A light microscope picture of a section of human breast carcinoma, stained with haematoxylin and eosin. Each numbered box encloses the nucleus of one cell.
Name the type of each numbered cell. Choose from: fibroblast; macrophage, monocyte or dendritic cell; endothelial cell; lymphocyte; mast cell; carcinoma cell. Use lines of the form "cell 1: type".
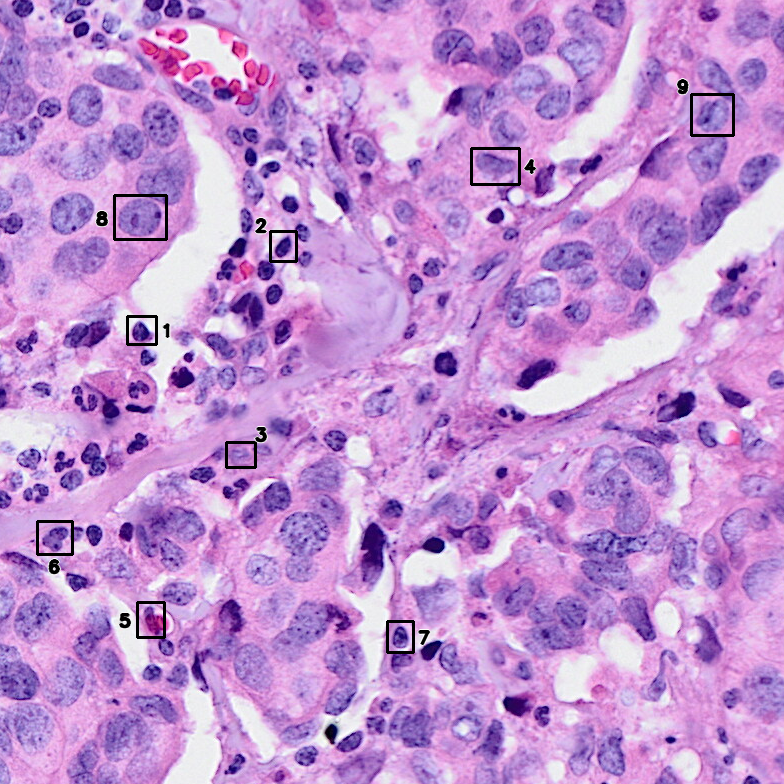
cell 1: lymphocyte
cell 2: lymphocyte
cell 3: endothelial cell
cell 4: carcinoma cell
cell 5: endothelial cell
cell 6: lymphocyte
cell 7: lymphocyte
cell 8: carcinoma cell
cell 9: carcinoma cell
